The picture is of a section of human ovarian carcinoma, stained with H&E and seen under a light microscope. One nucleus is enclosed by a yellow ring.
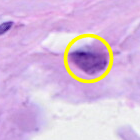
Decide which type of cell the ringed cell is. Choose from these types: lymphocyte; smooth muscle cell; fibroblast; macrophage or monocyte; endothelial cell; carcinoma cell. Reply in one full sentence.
The ringed cell appears to be a fibroblast.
